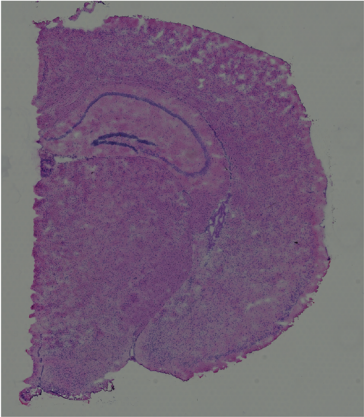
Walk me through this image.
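Coronal section of one brain hemisphere at low magnification, stained purple-pink. Single cells cannot be resolved at this scale. Only the architecture of the tissue is visible.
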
